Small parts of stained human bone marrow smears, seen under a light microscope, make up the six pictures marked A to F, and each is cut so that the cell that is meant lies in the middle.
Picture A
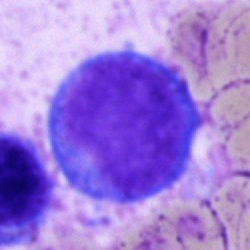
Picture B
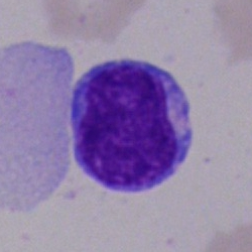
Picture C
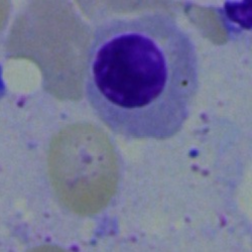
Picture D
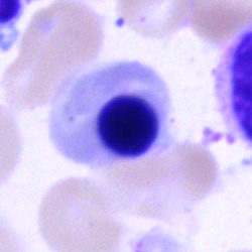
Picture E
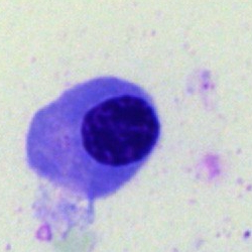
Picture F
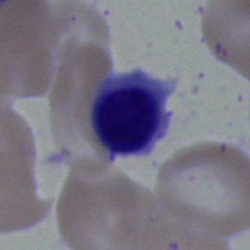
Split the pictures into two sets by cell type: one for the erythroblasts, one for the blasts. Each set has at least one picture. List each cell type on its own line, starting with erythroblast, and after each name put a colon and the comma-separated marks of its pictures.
erythroblast: C, D, E, F
blast: A, B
